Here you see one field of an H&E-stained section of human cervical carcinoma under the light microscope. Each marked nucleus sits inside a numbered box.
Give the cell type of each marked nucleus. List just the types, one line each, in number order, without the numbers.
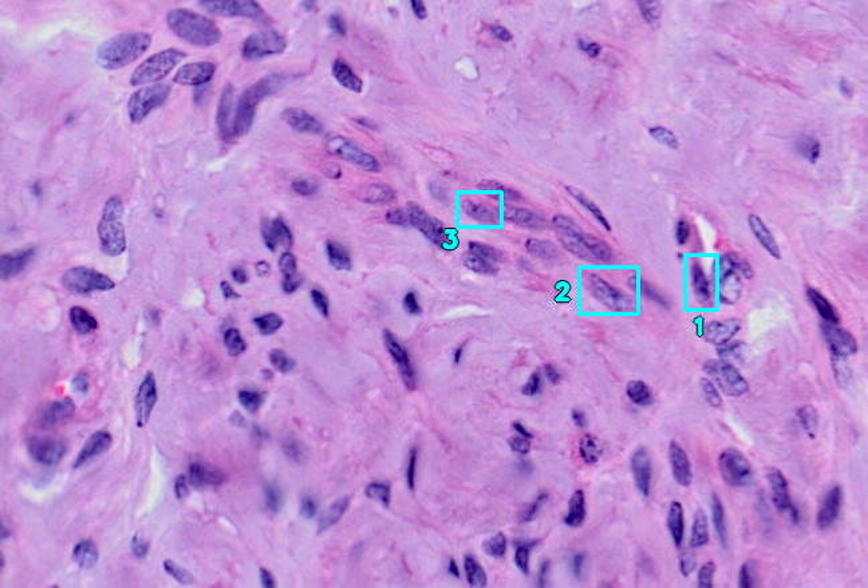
endothelial cell
smooth muscle cell
smooth muscle cell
